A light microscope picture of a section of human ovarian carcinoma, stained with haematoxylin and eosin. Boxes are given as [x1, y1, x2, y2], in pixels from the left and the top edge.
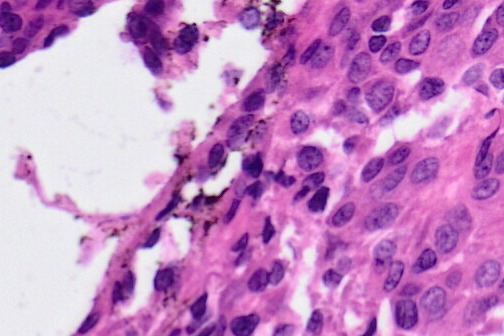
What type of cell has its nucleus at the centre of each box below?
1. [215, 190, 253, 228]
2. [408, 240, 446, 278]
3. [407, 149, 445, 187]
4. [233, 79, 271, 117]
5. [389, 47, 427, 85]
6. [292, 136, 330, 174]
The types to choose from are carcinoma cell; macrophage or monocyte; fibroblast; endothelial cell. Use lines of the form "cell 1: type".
cell 1: endothelial cell
cell 2: macrophage or monocyte
cell 3: carcinoma cell
cell 4: carcinoma cell
cell 5: carcinoma cell
cell 6: carcinoma cell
